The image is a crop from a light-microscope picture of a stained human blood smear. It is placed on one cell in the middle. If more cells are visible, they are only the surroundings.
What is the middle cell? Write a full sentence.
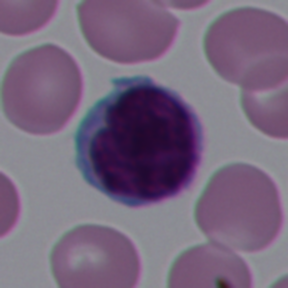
In the central position of this crop, the cell is a typical lymphocyte.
